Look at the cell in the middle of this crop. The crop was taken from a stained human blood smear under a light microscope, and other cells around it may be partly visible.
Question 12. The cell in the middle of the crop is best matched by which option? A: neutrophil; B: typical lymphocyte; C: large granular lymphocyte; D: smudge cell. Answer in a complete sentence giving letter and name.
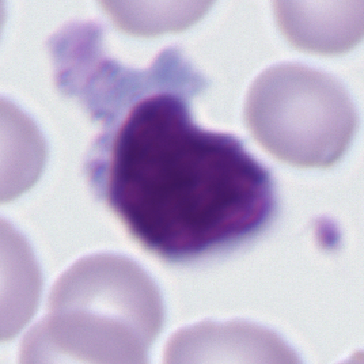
In the middle of the crop is a typical lymphocyte; option B is therefore correct.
